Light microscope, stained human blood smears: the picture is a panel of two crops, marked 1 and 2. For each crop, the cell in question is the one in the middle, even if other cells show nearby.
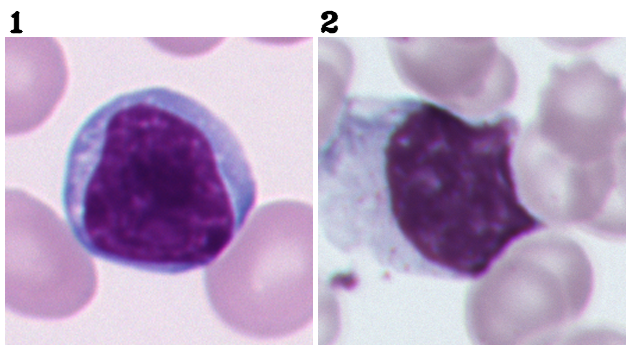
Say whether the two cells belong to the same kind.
yes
